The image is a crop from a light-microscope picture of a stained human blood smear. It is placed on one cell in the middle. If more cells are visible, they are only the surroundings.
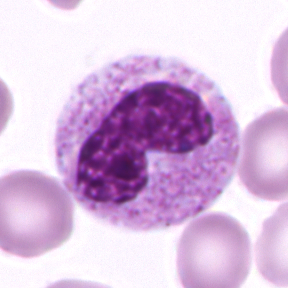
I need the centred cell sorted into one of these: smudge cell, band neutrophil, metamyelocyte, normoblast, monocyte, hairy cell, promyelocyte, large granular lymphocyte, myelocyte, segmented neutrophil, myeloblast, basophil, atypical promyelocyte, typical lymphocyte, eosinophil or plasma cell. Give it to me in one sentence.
In short, the cell at the center is a band neutrophil.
